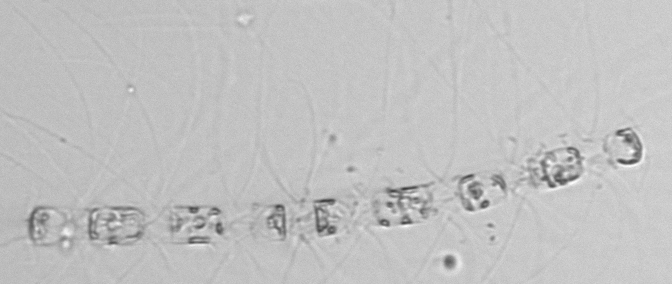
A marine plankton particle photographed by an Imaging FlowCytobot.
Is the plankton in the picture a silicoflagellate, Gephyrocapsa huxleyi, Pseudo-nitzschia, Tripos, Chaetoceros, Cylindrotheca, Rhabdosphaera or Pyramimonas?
It is Chaetoceros.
